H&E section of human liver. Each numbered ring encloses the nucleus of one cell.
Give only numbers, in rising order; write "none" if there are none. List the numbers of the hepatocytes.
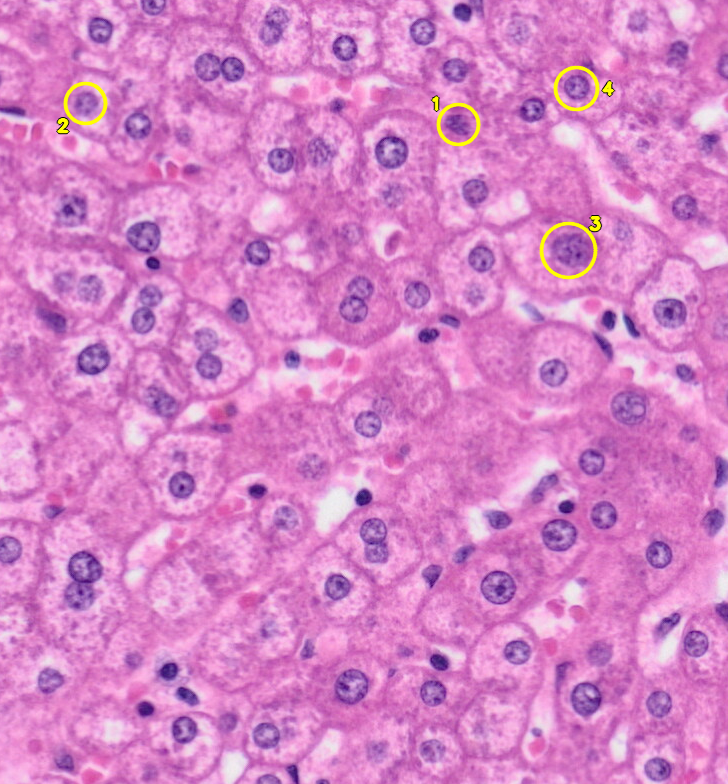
2, 3, 4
